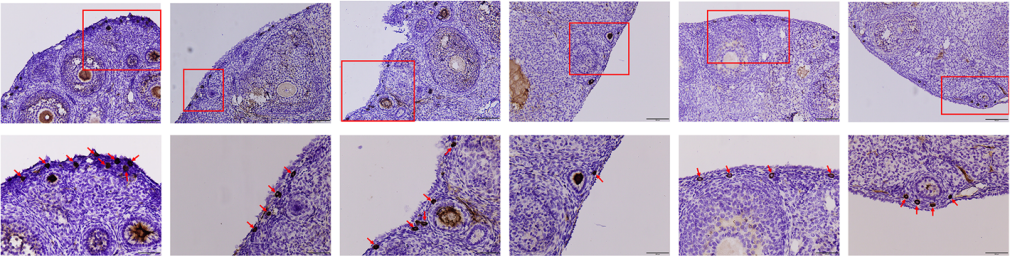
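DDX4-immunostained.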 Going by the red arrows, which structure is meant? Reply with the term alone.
Primordial follicles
